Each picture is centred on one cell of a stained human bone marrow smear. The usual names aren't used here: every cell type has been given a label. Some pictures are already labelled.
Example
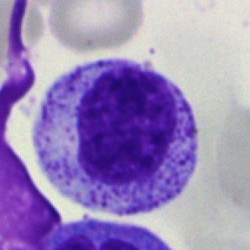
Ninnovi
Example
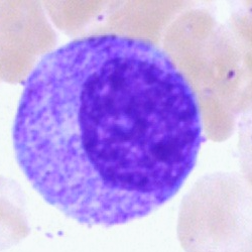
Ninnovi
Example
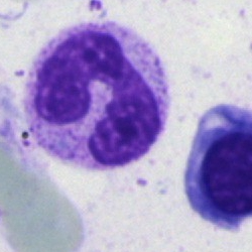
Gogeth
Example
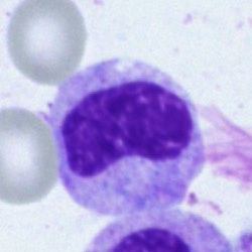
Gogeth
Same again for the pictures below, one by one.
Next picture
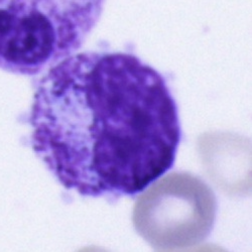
Ninnovi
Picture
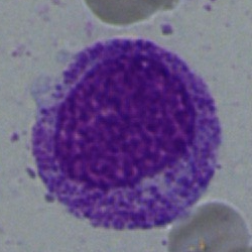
Ninnovi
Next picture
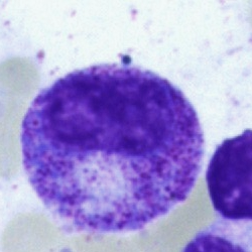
Ninnovi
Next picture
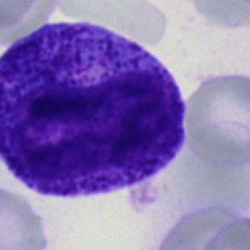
Ninnovi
